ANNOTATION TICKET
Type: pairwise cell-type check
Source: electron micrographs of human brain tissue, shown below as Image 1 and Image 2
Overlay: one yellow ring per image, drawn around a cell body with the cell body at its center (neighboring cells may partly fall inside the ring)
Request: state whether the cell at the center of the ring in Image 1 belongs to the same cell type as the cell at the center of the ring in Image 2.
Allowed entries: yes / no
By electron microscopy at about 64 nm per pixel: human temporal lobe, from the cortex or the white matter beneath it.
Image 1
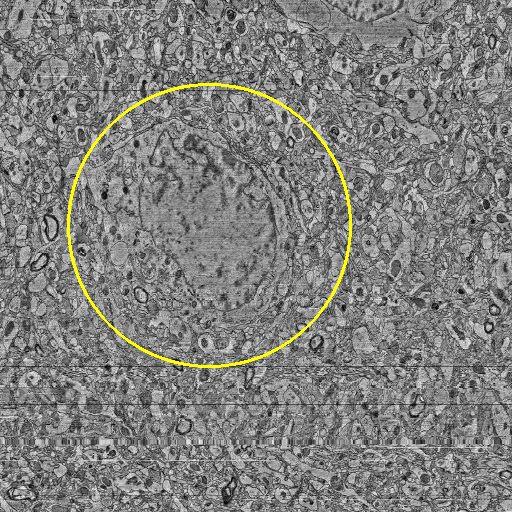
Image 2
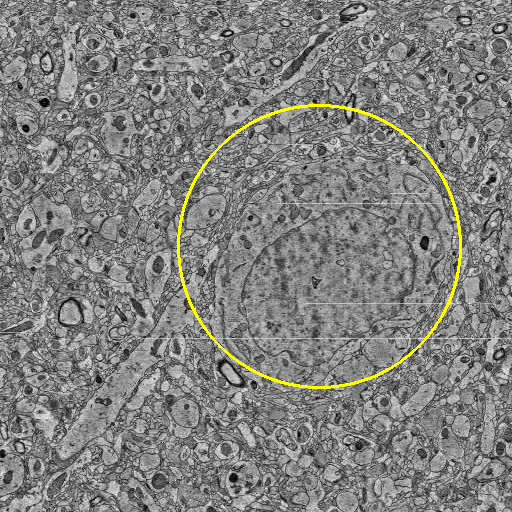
yes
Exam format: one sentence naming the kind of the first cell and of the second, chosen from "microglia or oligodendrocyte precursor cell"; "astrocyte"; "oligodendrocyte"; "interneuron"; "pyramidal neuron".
In each picture the ringed cell is an interneuron.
